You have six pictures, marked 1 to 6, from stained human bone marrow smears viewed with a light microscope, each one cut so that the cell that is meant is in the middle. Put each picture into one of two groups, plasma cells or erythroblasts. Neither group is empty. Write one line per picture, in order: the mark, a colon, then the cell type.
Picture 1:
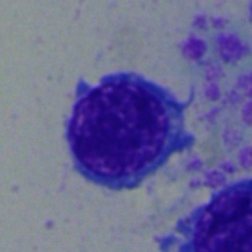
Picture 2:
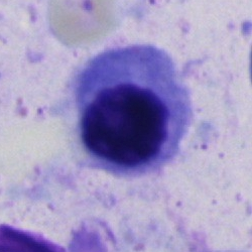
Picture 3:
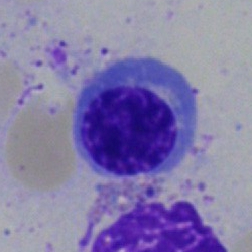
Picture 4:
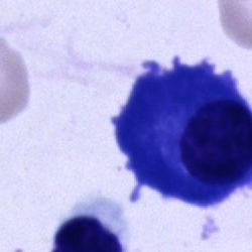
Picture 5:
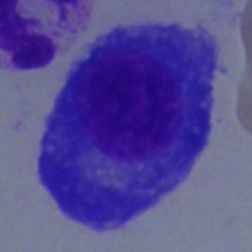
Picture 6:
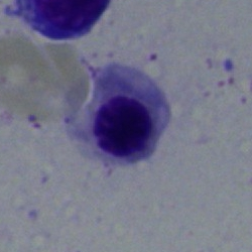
1: erythroblast
2: erythroblast
3: erythroblast
4: plasma cell
5: plasma cell
6: erythroblast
